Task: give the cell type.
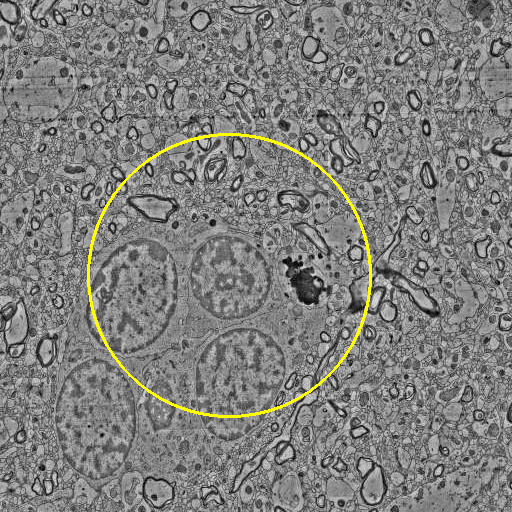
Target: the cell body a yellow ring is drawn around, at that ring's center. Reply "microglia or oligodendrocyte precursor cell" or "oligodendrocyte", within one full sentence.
In this picture, the cell whose body lies at the ring's center is an oligodendrocyte.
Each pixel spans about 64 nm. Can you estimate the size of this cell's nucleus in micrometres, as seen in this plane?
Roughly 5 micrometres across for the nucleus, in this plane.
